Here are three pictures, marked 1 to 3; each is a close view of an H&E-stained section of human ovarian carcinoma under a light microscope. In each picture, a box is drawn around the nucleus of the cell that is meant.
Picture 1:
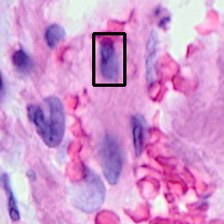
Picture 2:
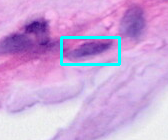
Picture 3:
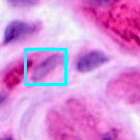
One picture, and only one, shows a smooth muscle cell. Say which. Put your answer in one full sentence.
Picture 2 is the one that shows the smooth muscle cell.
